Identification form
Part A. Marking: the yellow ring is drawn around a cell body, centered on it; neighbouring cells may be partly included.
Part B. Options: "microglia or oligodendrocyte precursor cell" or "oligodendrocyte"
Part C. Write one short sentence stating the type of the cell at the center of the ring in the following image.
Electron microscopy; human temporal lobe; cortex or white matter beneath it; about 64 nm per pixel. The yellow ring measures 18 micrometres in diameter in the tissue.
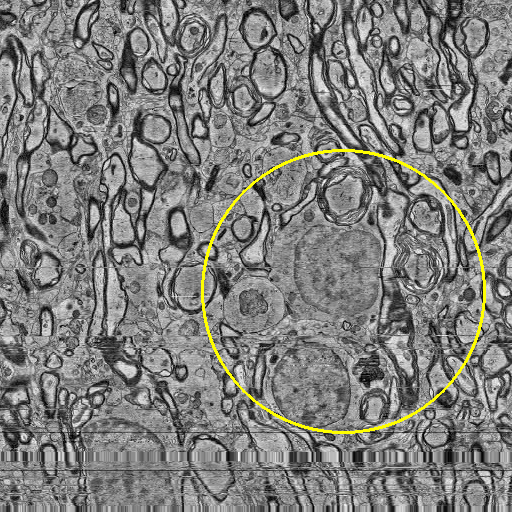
The center of the ring holds an oligodendrocyte.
